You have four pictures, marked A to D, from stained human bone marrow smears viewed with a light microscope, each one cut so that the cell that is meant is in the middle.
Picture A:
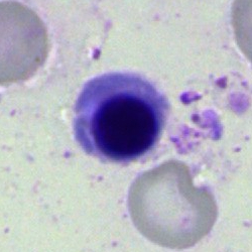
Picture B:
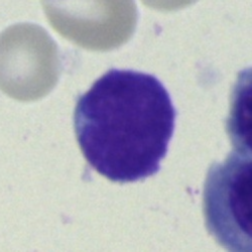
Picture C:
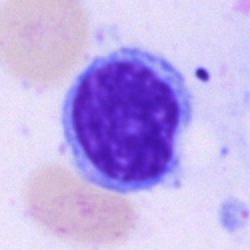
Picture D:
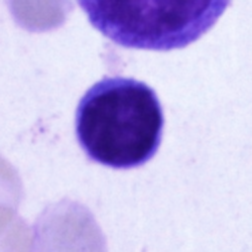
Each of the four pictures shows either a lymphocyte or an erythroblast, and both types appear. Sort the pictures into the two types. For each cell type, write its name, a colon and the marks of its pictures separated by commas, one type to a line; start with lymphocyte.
lymphocyte: B, C, D
erythroblast: A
